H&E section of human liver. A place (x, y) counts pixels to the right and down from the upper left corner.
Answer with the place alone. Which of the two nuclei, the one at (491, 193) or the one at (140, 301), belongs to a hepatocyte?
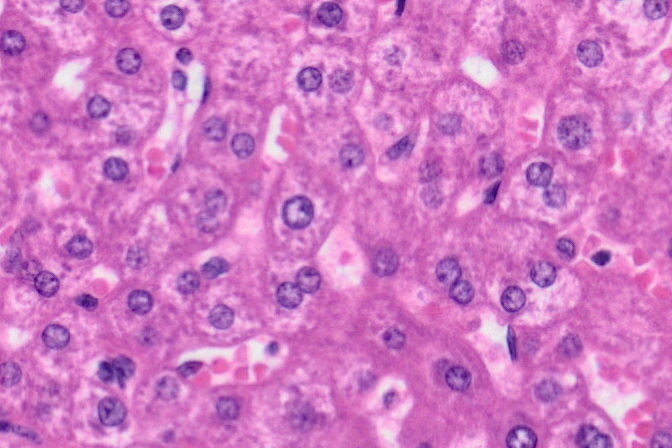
(140, 301)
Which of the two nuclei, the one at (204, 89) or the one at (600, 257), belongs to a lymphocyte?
(600, 257)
